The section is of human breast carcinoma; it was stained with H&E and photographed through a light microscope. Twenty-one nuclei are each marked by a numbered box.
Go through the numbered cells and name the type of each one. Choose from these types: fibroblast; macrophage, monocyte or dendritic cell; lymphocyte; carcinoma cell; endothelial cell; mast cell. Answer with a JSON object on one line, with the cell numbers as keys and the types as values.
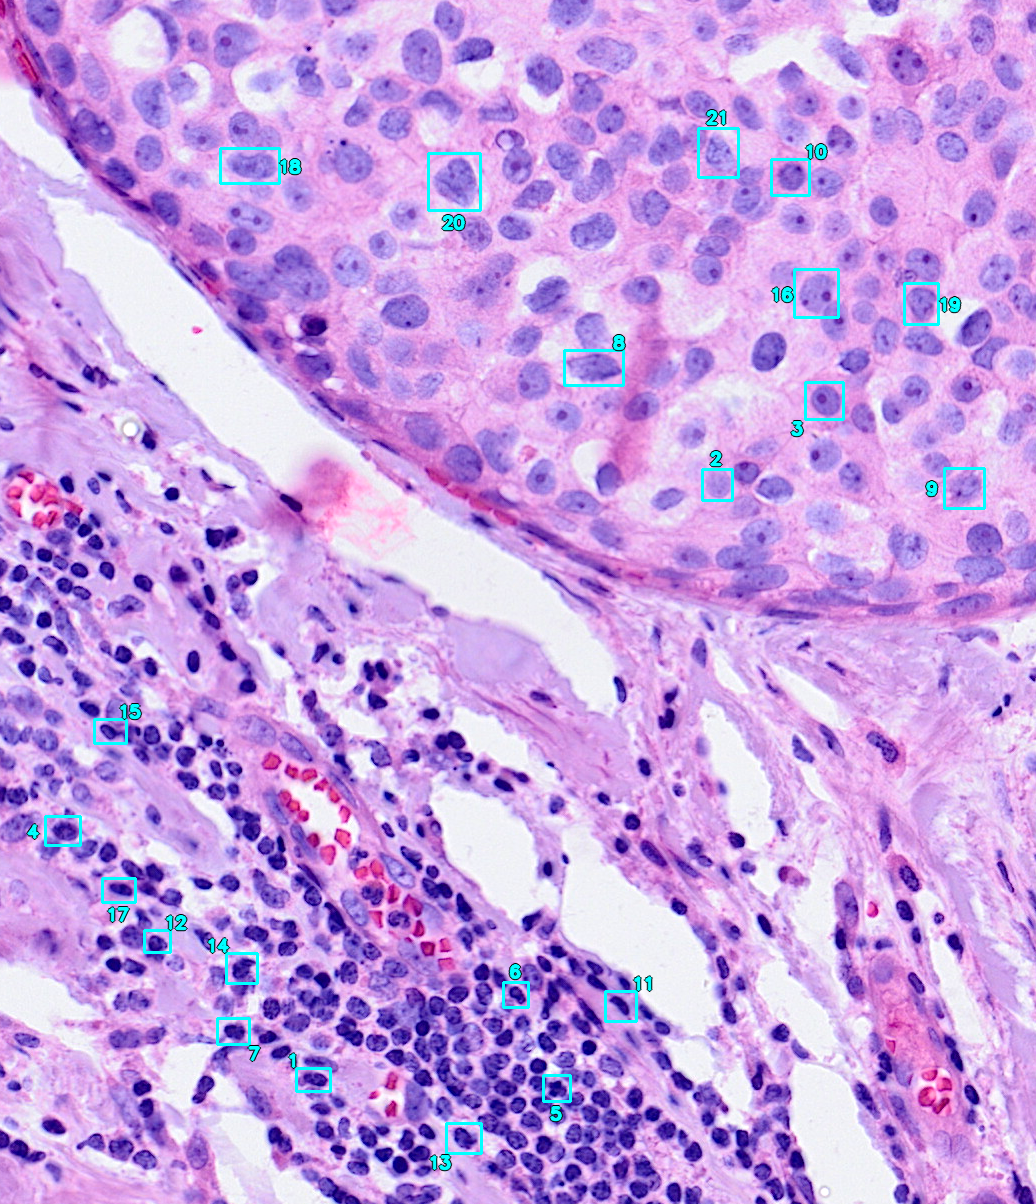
{"1": "lymphocyte", "2": "carcinoma cell", "3": "carcinoma cell", "4": "lymphocyte", "5": "lymphocyte", "6": "lymphocyte", "7": "lymphocyte", "8": "carcinoma cell", "9": "carcinoma cell", "10": "carcinoma cell", "11": "lymphocyte", "12": "lymphocyte", "13": "lymphocyte", "14": "lymphocyte", "15": "lymphocyte", "16": "carcinoma cell", "17": "lymphocyte", "18": "carcinoma cell", "19": "carcinoma cell", "20": "carcinoma cell", "21": "carcinoma cell"}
